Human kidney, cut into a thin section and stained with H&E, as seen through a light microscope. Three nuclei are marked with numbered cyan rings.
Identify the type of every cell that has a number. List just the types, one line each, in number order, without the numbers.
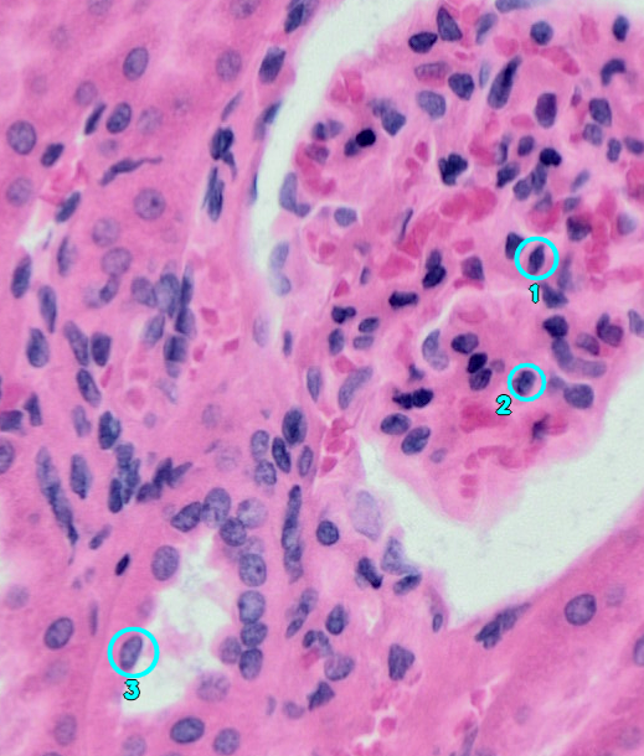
endothelial cell
endothelial cell
loop of Henle or distal tubule cell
